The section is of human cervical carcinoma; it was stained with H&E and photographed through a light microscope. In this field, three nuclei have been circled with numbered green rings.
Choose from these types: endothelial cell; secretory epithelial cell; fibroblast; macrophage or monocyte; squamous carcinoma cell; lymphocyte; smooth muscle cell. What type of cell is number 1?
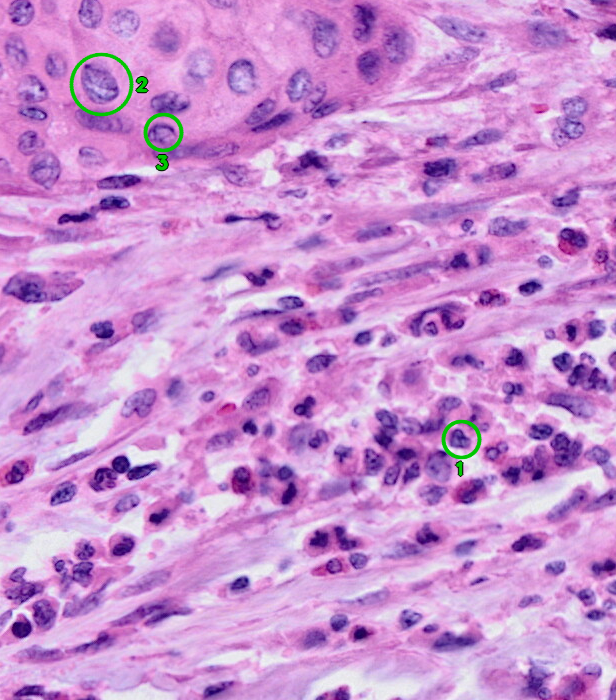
lymphocyte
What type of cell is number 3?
squamous carcinoma cell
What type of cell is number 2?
squamous carcinoma cell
